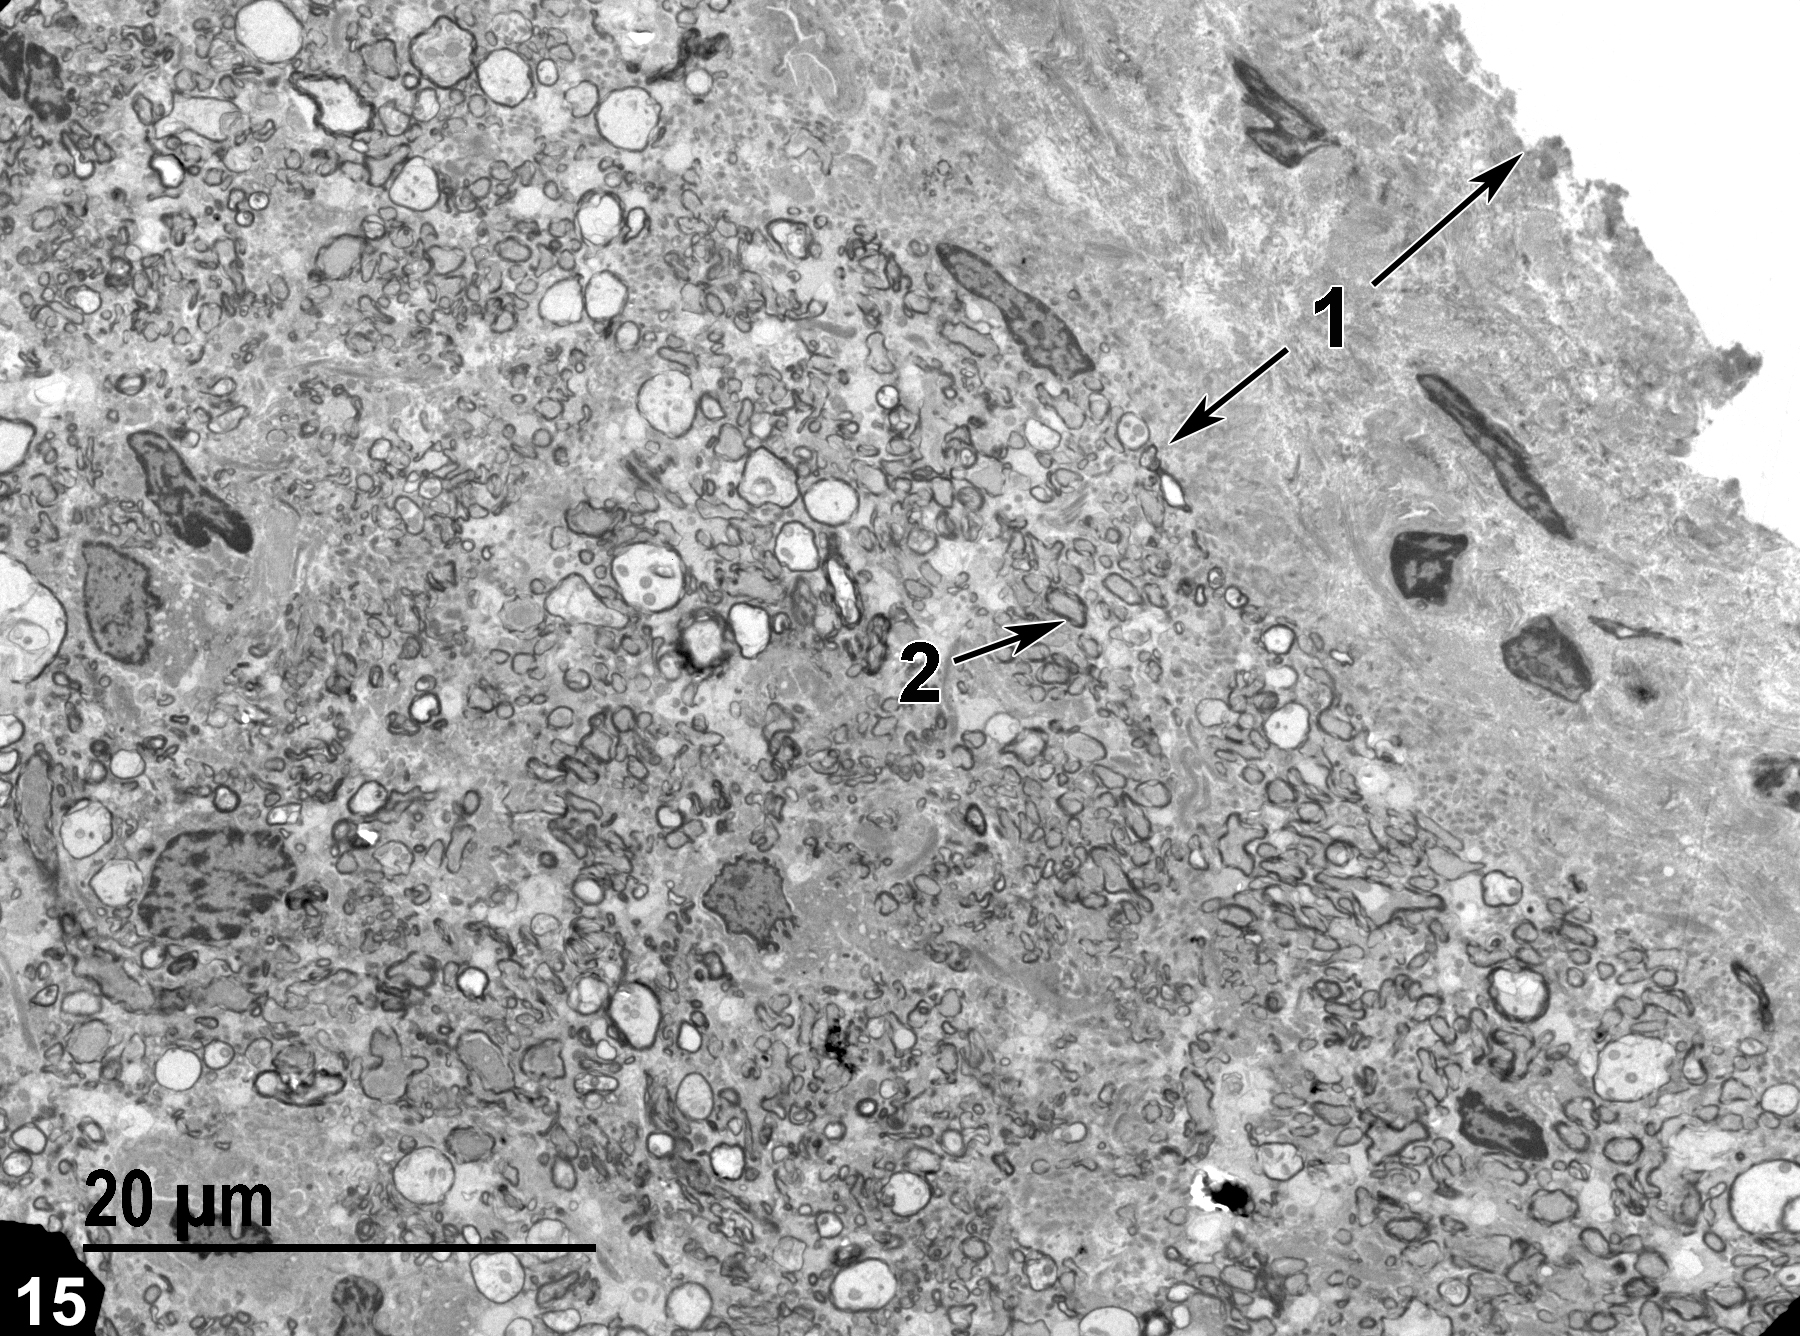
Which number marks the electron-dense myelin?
2.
